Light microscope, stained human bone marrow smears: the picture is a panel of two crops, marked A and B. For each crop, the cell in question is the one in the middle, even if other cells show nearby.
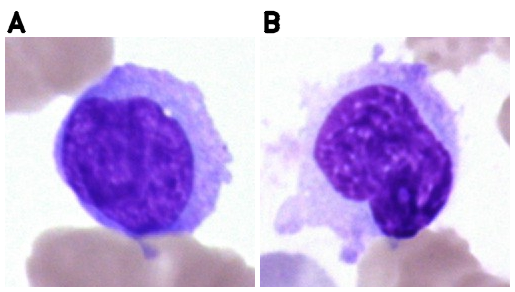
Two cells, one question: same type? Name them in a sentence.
No, a blast is the cell in crop A; a hairy cell is the cell in crop B.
